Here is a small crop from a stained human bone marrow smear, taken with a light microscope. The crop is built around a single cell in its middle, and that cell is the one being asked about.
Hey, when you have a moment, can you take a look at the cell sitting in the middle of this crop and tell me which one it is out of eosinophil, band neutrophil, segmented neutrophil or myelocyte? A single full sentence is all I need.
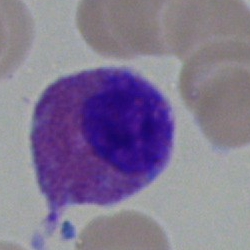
For this crop, the central cell is an eosinophil.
